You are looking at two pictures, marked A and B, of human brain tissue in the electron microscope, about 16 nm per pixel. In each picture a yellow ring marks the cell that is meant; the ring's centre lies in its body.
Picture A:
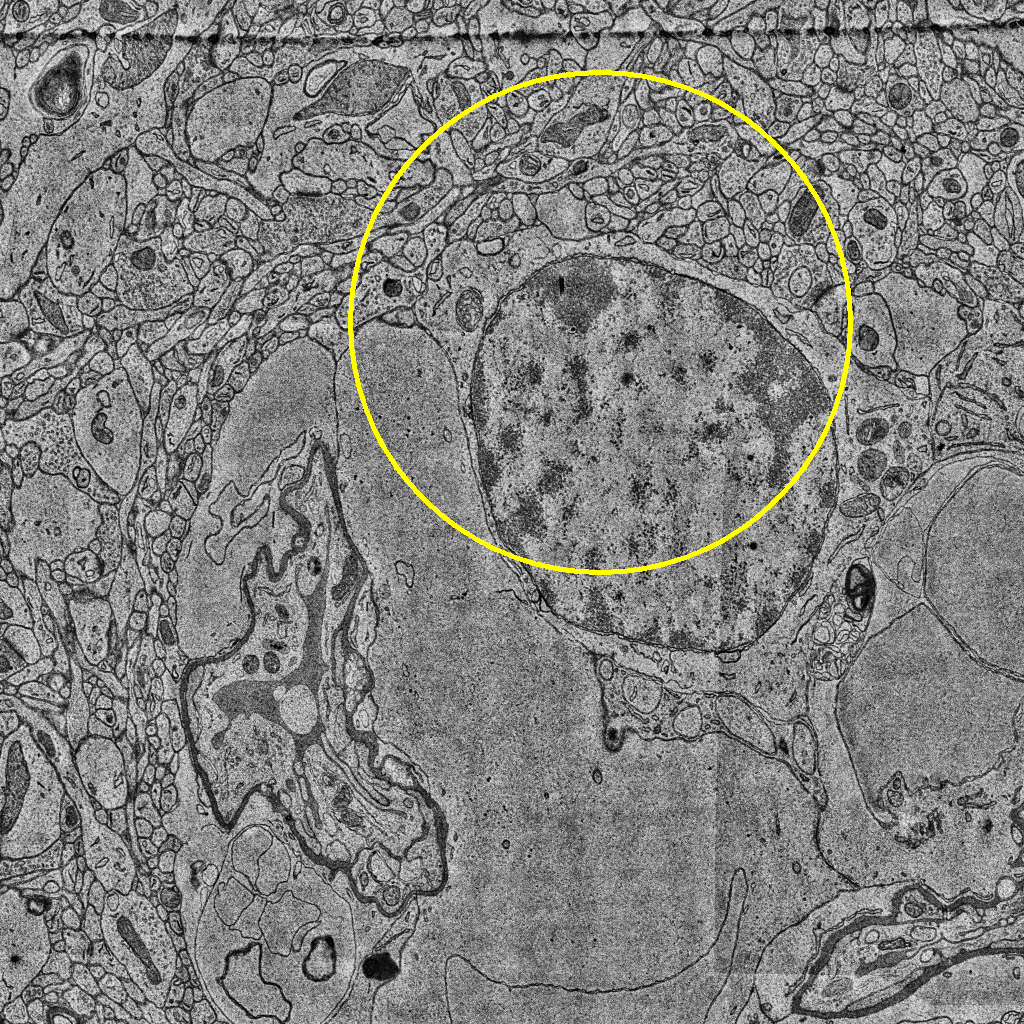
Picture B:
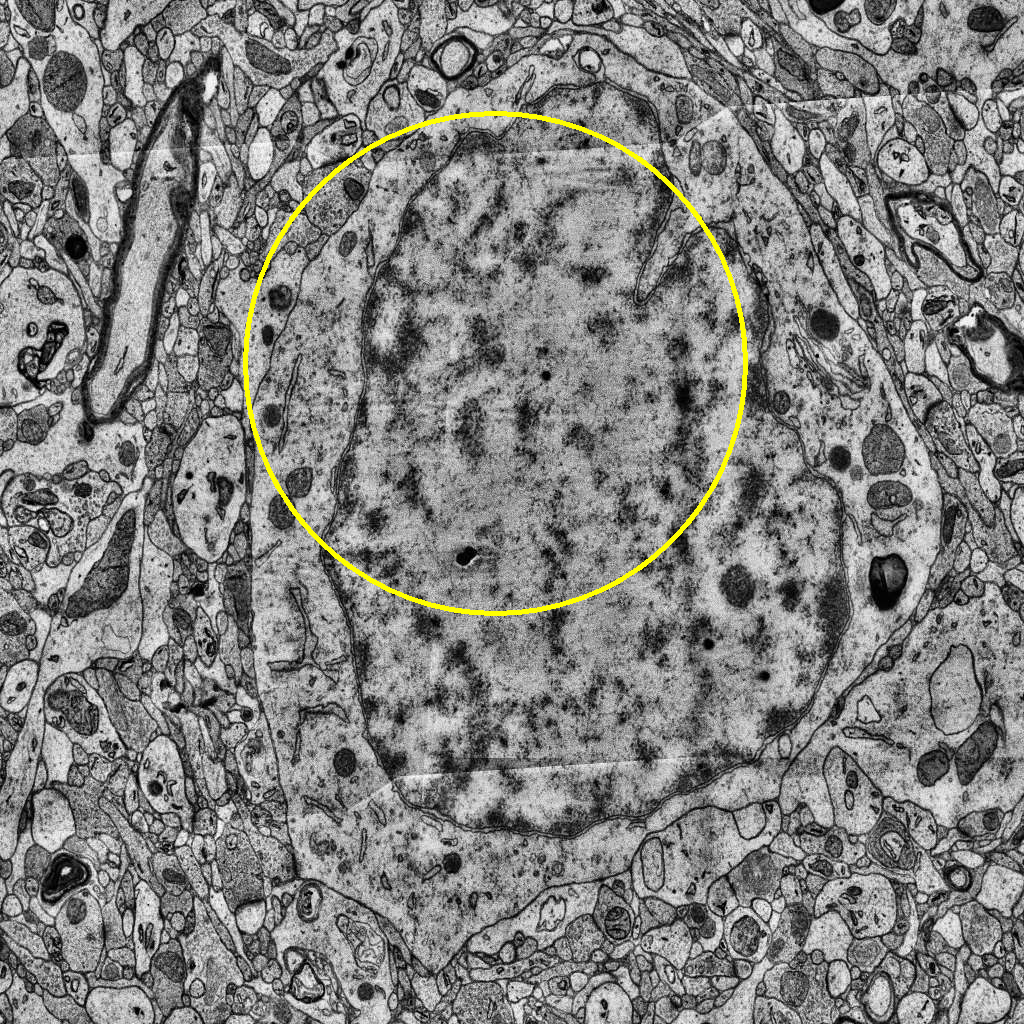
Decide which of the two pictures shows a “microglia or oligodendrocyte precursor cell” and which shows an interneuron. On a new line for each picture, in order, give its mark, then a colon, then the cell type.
A: microglia or oligodendrocyte precursor cell
B: interneuron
